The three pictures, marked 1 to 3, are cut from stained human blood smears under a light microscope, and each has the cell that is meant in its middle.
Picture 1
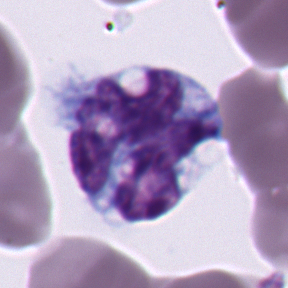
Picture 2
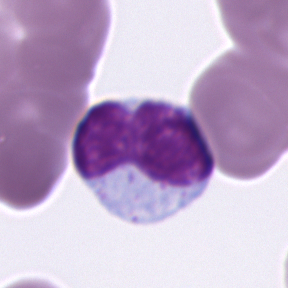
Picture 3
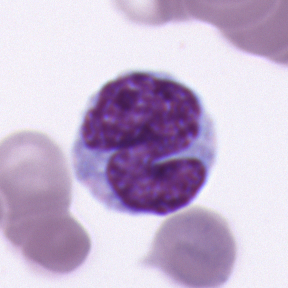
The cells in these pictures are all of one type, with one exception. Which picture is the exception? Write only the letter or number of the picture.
2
